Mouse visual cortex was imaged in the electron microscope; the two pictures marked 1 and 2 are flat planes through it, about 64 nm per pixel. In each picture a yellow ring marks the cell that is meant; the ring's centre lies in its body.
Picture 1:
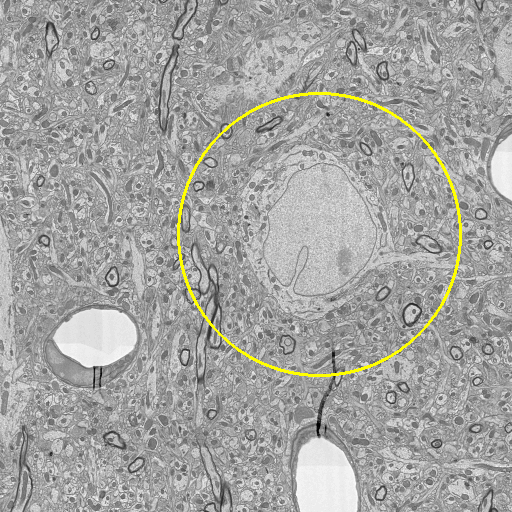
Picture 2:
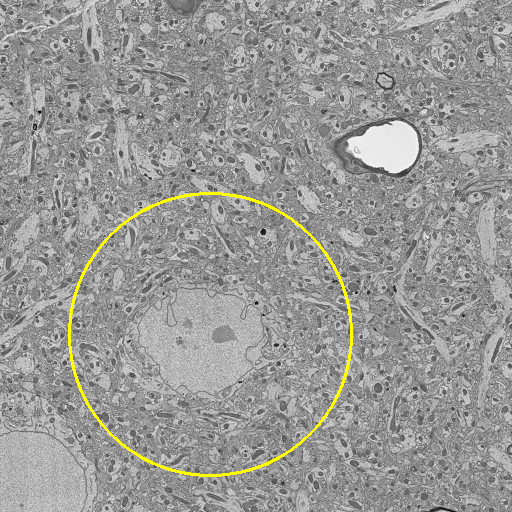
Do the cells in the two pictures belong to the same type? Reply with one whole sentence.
No, they differ: the cell is an excitatory neuron in picture 1 and an inhibitory neuron in picture 2.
